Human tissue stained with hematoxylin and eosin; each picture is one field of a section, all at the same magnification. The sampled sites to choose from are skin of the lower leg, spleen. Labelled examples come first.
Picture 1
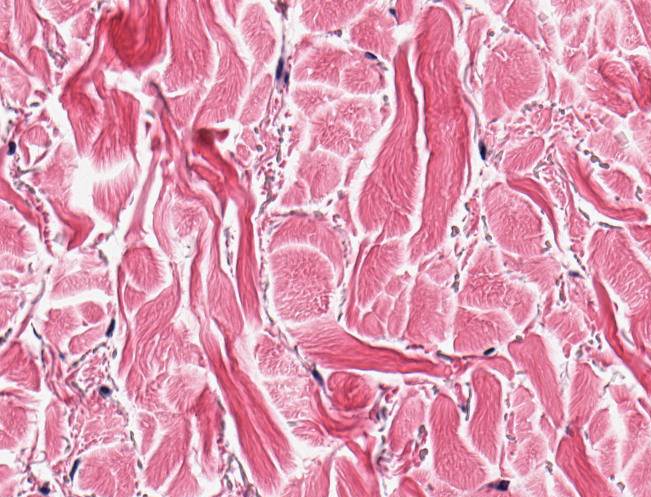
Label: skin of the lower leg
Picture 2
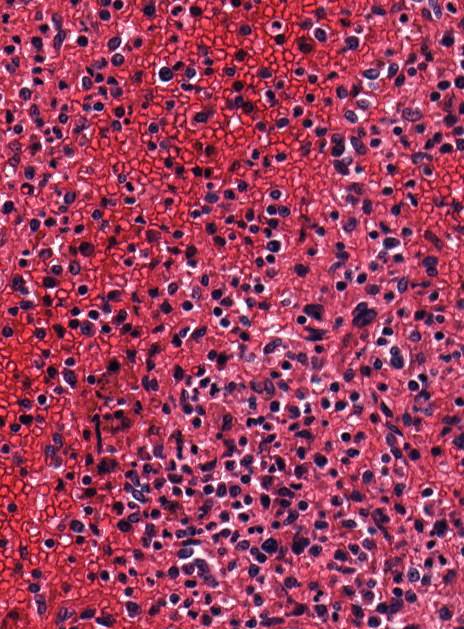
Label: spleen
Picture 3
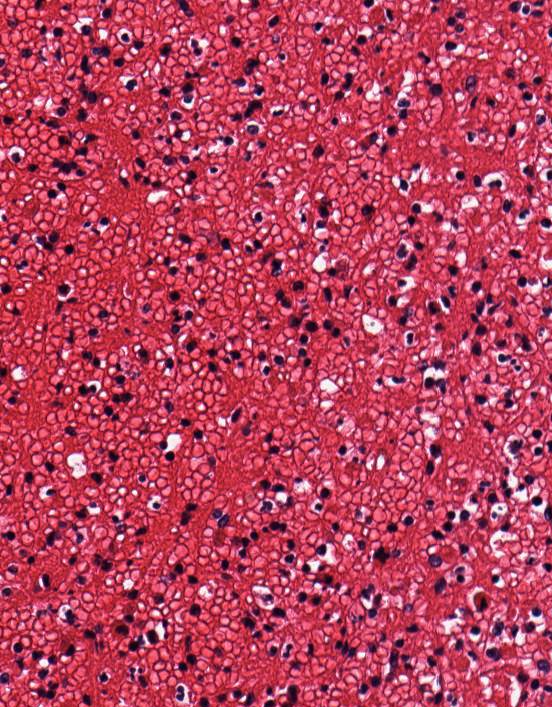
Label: spleen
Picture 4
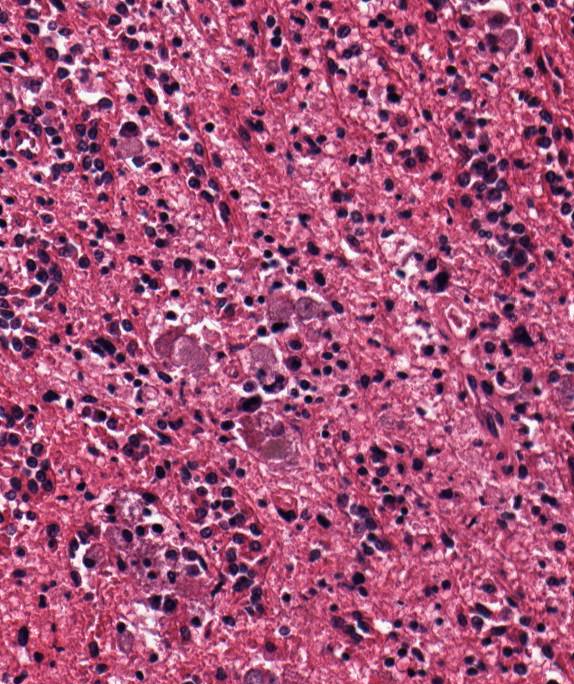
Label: spleen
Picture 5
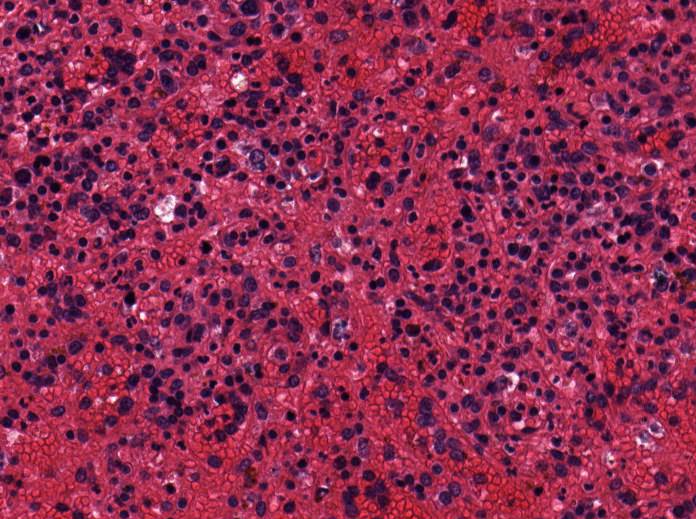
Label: spleen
